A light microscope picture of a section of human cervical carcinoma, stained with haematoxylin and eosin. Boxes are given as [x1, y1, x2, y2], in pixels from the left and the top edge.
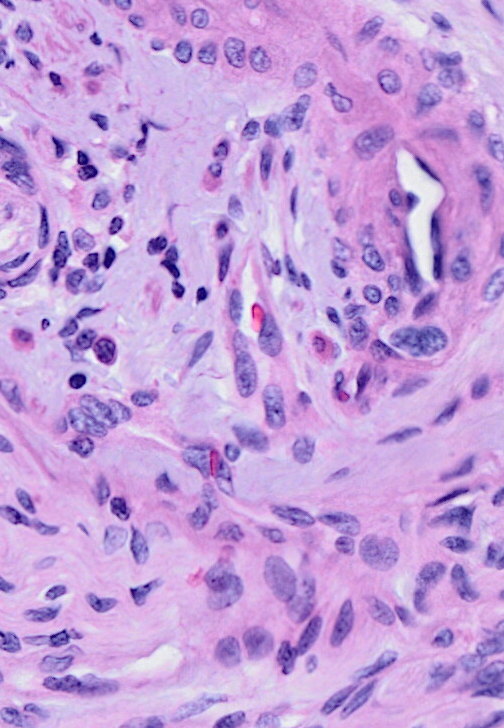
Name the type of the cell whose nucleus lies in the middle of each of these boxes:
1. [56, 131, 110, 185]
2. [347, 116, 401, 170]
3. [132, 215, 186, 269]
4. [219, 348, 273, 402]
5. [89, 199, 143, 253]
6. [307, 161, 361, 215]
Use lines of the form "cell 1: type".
cell 1: lymphocyte
cell 2: smooth muscle cell
cell 3: lymphocyte
cell 4: endothelial cell
cell 5: lymphocyte
cell 6: smooth muscle cell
